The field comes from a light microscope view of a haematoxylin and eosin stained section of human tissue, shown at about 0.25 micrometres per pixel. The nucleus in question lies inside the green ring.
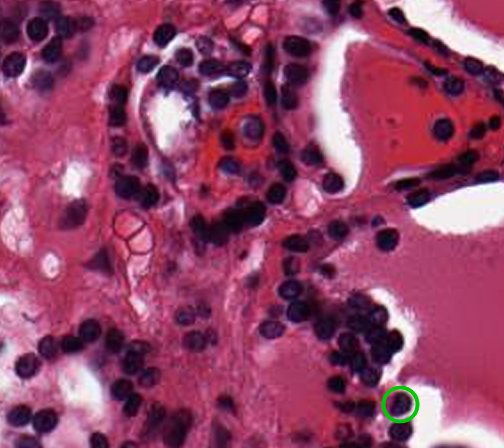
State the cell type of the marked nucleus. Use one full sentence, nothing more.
What the marked nucleus belongs to is a thyroid follicular cell.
